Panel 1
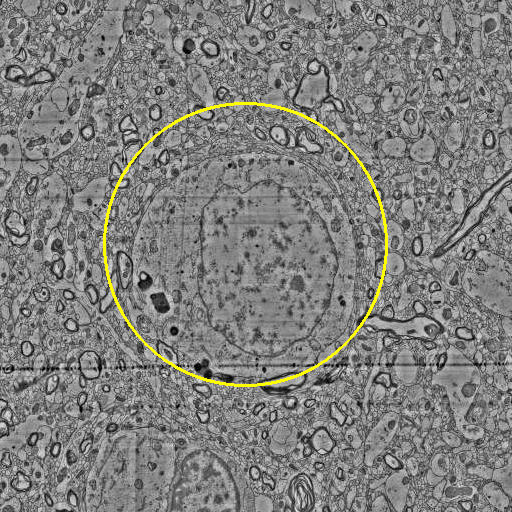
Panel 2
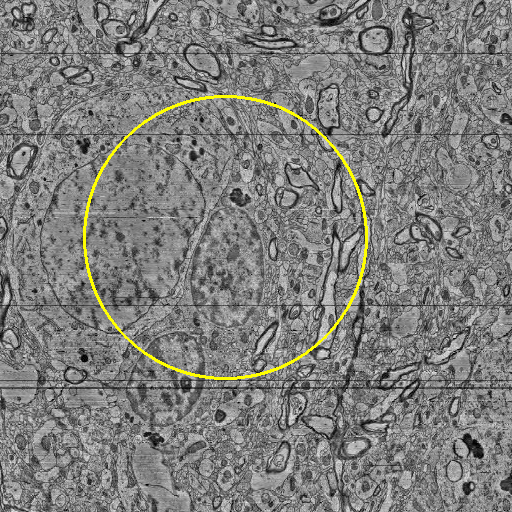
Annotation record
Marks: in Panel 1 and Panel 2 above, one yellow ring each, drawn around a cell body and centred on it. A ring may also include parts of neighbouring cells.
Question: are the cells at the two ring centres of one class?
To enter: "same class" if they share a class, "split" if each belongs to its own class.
split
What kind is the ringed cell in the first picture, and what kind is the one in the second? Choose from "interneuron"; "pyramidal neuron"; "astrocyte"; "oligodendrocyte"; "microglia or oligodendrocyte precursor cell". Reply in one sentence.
The first cell is a pyramidal neuron; the second is an oligodendrocyte.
